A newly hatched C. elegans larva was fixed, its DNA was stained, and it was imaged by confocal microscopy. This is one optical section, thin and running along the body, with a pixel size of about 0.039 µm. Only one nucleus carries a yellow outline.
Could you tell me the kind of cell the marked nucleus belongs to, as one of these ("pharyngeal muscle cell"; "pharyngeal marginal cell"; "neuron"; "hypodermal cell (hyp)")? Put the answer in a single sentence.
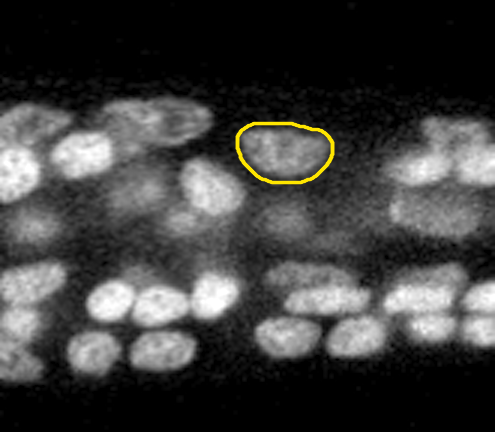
It is the nucleus of a hypodermal cell (hyp).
